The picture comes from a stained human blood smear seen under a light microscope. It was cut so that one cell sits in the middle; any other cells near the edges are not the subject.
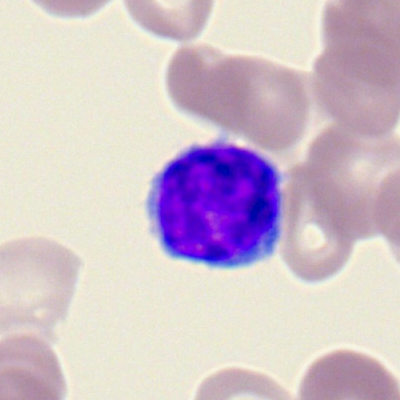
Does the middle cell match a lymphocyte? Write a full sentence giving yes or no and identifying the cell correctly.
Yes, the middle cell is properly termed a lymphocyte.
